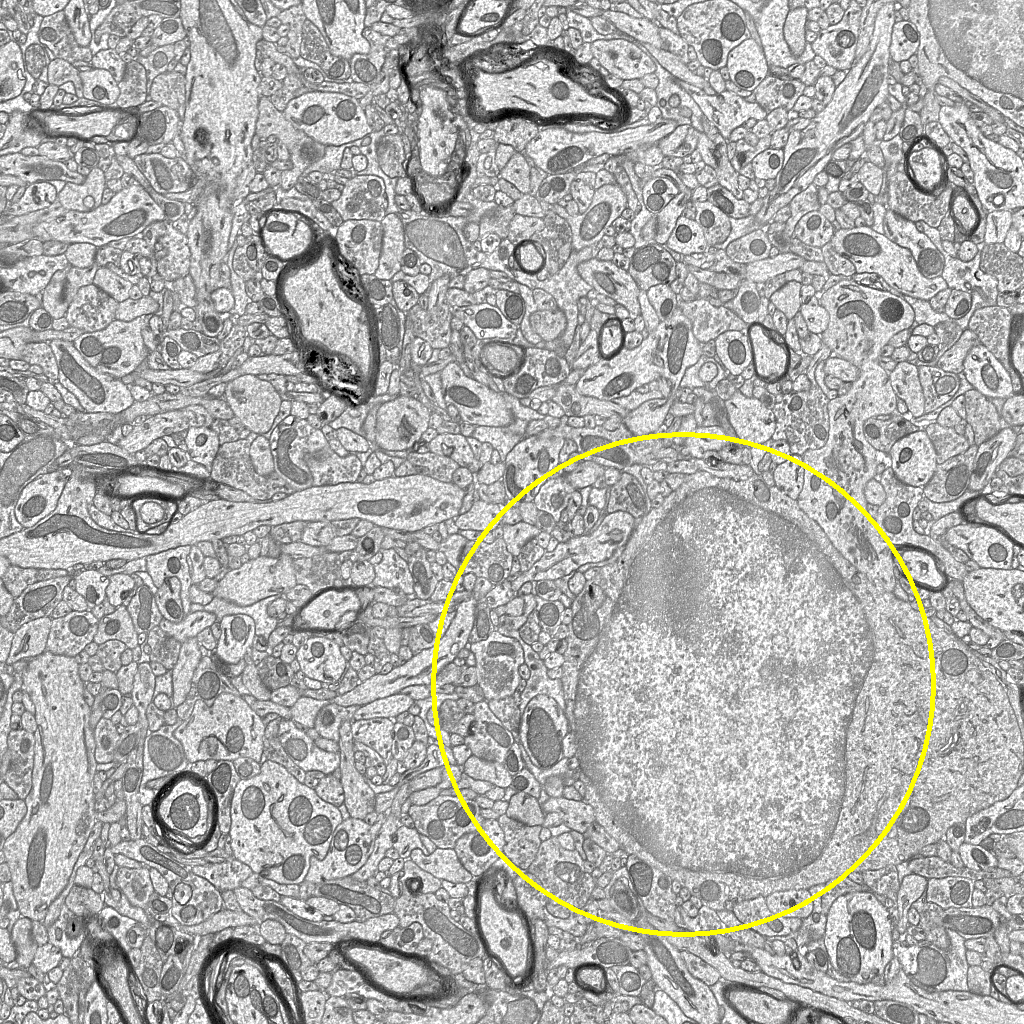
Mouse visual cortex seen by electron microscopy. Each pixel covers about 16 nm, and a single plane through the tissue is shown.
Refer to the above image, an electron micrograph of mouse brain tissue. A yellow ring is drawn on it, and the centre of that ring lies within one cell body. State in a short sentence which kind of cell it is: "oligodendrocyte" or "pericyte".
The centre of the ring falls on an oligodendrocyte.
